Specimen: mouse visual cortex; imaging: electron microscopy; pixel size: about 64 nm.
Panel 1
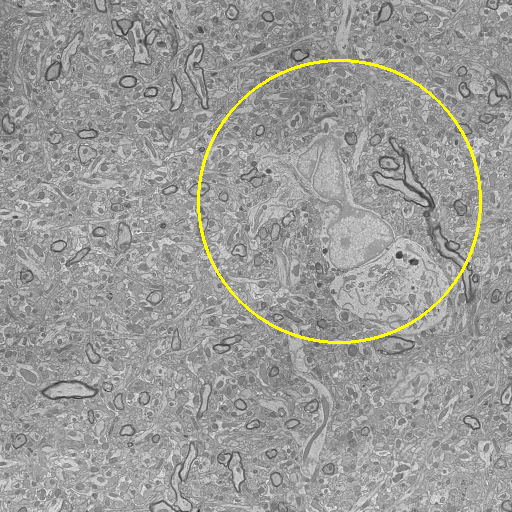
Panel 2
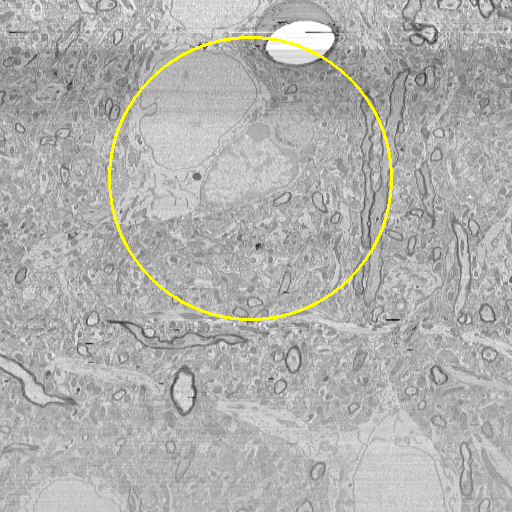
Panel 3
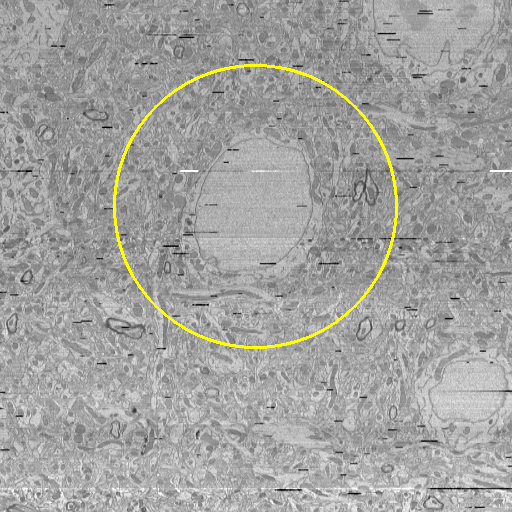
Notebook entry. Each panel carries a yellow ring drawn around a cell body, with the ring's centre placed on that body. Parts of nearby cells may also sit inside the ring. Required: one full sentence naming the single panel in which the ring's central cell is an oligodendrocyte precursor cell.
Panel 1 is the single one with the sought cell at its ring's centre.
